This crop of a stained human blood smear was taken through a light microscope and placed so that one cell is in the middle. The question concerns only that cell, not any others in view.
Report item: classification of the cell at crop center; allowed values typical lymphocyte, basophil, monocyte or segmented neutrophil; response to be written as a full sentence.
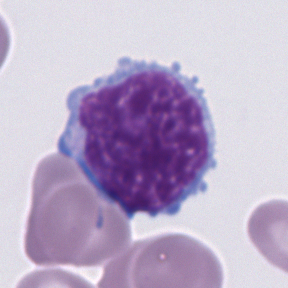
At the middle of the frame sits a typical lymphocyte.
